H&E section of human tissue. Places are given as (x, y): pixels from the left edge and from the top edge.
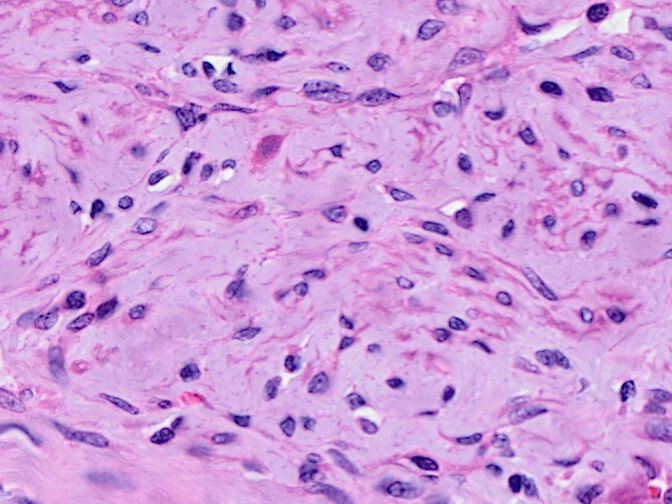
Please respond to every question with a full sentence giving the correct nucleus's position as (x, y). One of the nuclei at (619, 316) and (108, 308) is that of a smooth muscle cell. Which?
As for which of the two, the nucleus at (619, 316) belongs to a smooth muscle cell.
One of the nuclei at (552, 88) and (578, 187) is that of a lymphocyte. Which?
Answering which nucleus it is: the one at (552, 88), belonging to a lymphocyte.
